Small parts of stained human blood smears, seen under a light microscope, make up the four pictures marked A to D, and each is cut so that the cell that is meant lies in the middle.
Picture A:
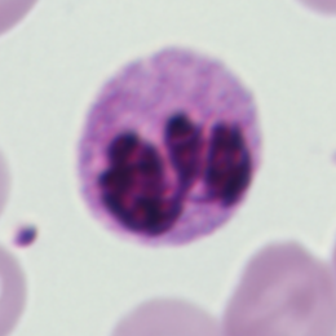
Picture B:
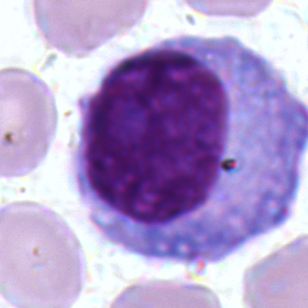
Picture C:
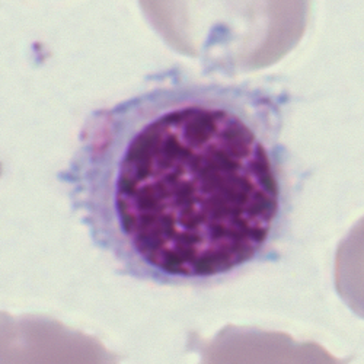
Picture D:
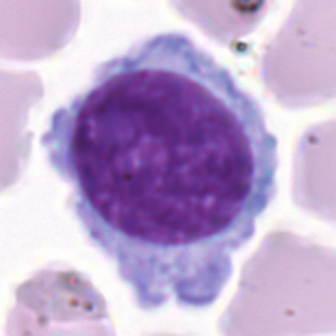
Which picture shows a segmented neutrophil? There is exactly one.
A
